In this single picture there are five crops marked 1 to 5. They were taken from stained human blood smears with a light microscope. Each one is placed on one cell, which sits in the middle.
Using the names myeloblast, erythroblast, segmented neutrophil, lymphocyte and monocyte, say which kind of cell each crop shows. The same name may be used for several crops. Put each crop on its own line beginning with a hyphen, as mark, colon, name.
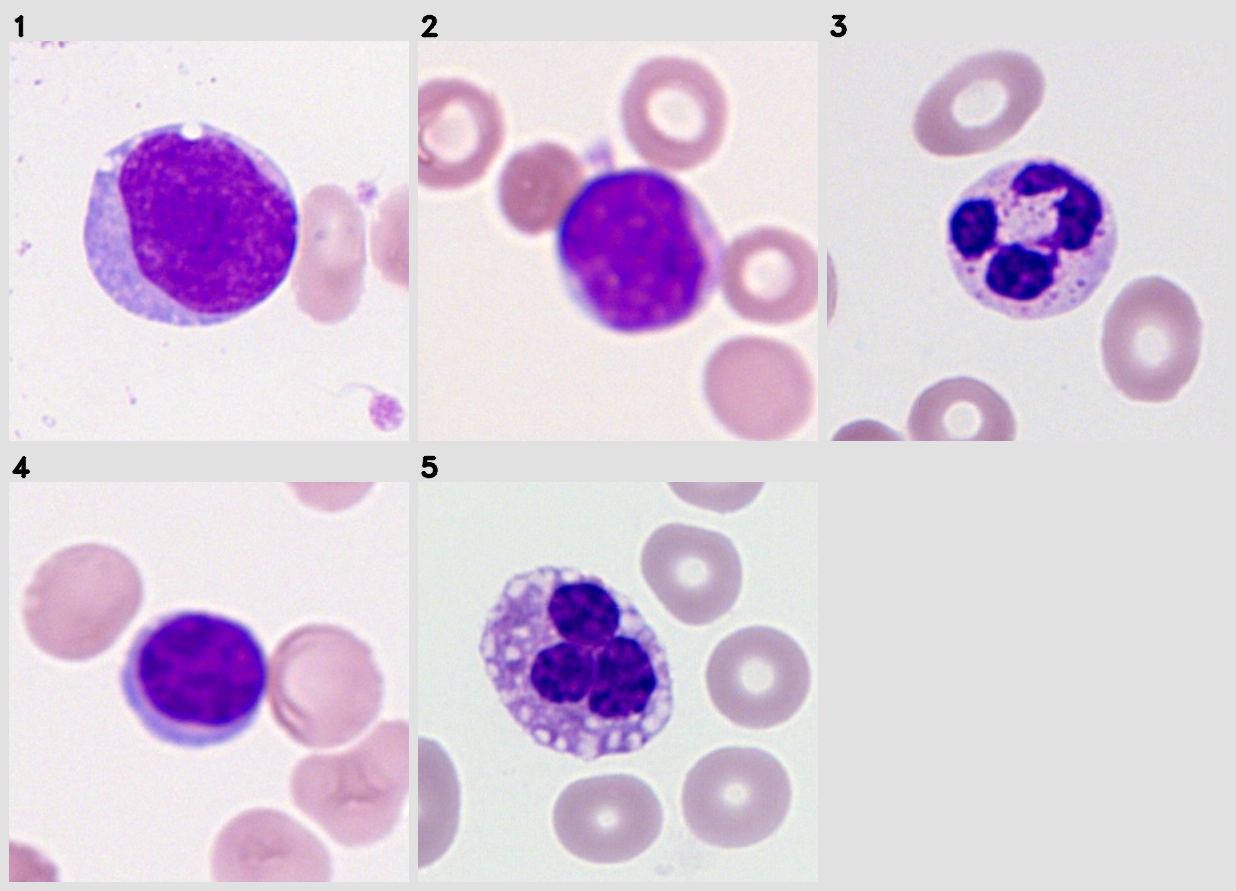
- 1: myeloblast
- 2: myeloblast
- 3: segmented neutrophil
- 4: lymphocyte
- 5: segmented neutrophil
